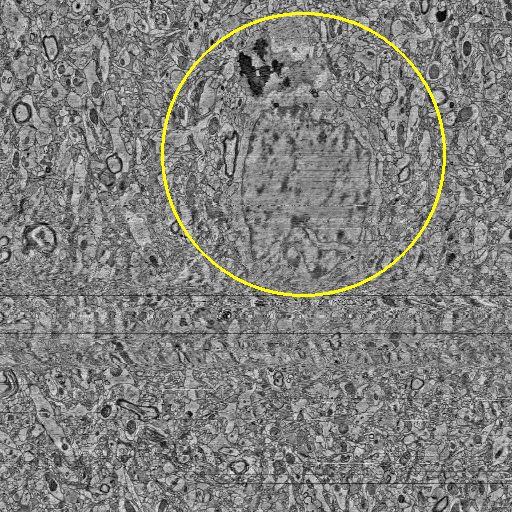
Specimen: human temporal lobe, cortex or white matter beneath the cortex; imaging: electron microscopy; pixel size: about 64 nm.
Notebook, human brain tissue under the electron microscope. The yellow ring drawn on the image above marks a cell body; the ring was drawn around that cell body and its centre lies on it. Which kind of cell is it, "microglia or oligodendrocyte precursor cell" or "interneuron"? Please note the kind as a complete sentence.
The marked cell body is that of an interneuron.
